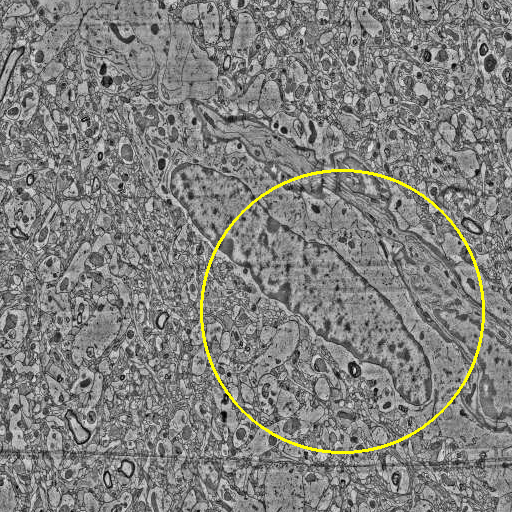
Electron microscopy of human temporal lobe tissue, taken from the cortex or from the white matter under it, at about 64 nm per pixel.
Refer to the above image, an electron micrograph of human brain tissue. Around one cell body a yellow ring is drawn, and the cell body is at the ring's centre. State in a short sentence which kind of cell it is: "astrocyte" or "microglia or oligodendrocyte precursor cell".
The centre of the ring falls on a microglial cell or oligodendrocyte precursor cell.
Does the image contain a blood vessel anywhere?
Yes, one appears.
